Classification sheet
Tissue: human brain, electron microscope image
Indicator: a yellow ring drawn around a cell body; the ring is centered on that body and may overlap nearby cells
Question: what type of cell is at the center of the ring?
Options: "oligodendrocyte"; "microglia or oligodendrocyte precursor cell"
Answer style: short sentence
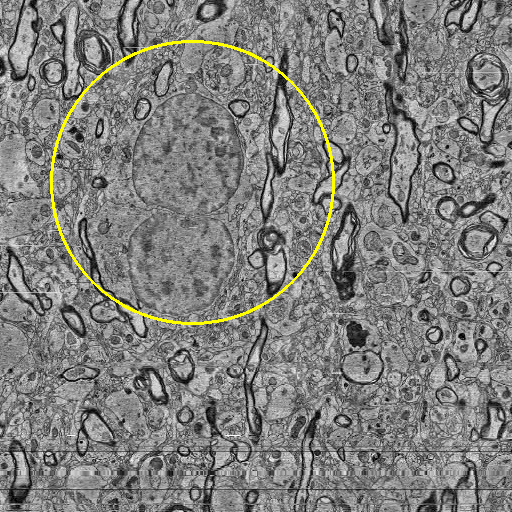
At the ring's center is an oligodendrocyte.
